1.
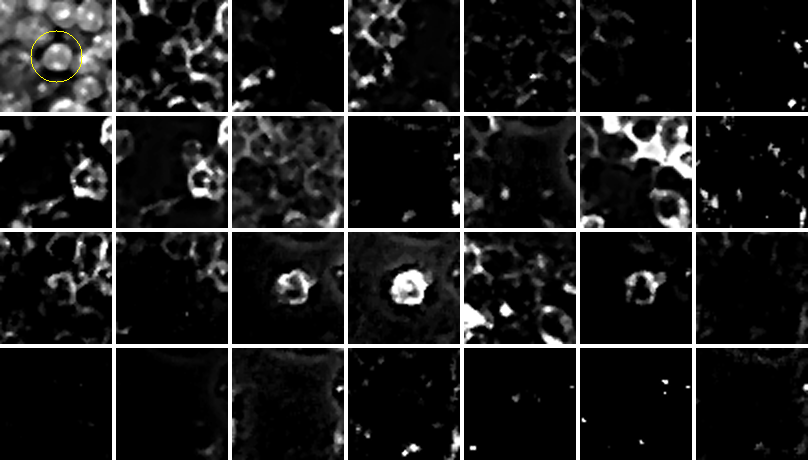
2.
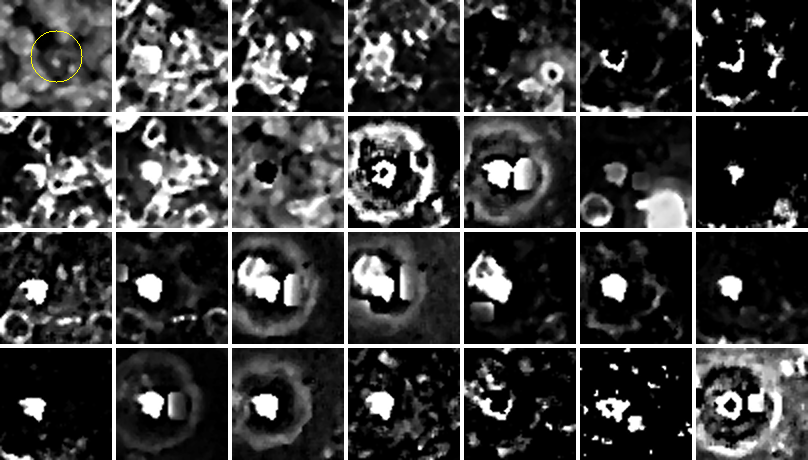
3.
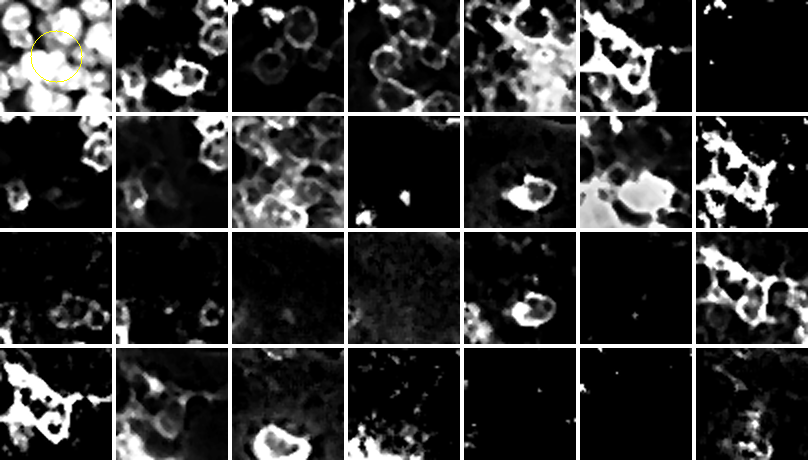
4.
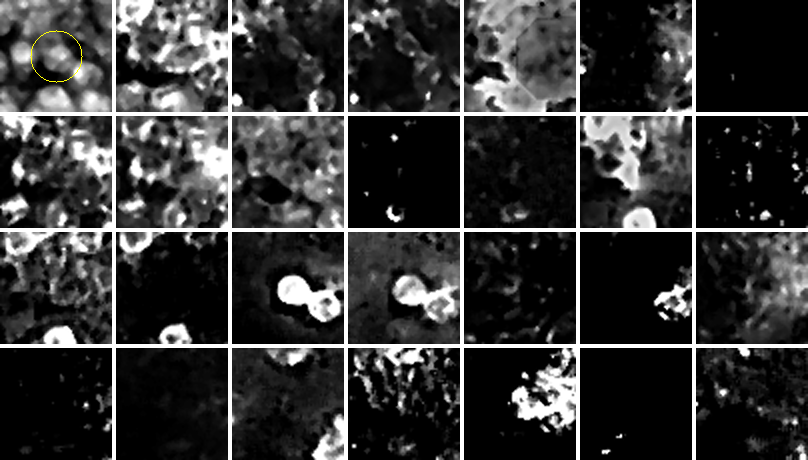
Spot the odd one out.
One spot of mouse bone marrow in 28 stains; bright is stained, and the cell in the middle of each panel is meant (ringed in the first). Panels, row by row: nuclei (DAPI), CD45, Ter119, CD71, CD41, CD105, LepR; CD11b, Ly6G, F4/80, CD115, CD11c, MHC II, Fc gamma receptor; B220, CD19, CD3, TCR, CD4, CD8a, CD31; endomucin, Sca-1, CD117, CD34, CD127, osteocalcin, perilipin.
Picture 3 (a capillary endothelial cell among double-negative T cells).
